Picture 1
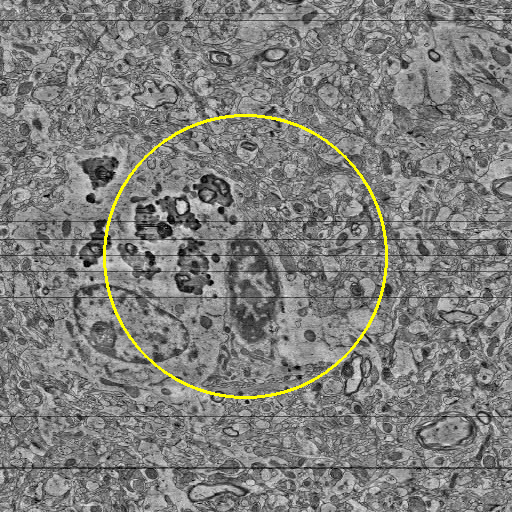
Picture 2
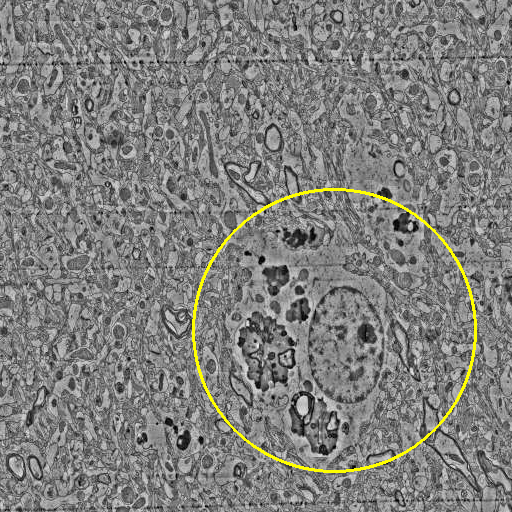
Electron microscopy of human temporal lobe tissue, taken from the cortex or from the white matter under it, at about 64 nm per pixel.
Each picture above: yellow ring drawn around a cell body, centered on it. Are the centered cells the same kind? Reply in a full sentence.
No, the two cells are two kinds of cell.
